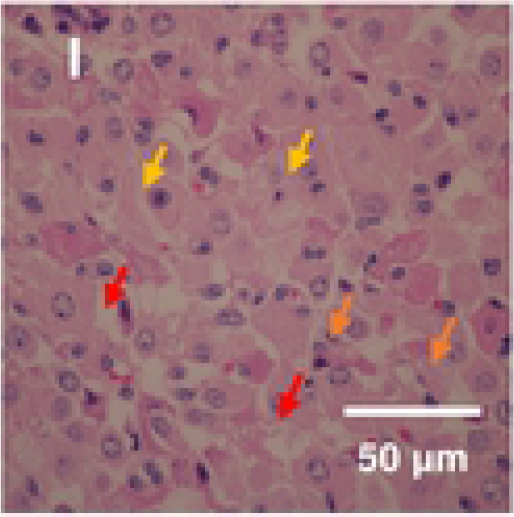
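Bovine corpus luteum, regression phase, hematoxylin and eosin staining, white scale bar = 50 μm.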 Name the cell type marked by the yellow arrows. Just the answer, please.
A: Large luteal steroidogenic cell.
